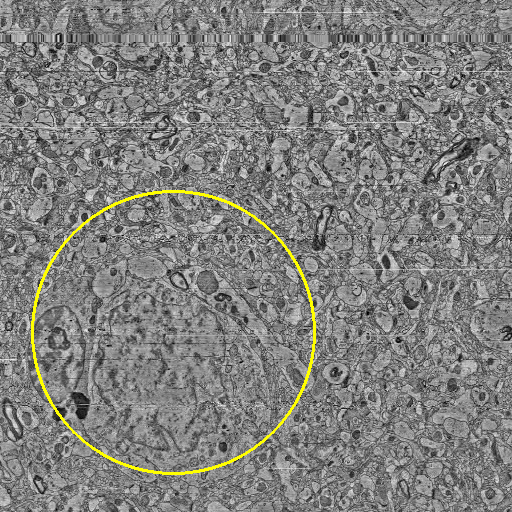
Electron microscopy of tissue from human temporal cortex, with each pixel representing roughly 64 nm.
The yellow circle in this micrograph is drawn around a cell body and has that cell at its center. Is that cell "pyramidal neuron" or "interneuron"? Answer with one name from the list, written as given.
interneuron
